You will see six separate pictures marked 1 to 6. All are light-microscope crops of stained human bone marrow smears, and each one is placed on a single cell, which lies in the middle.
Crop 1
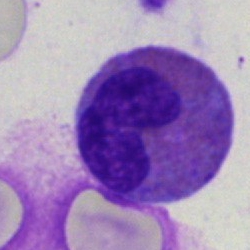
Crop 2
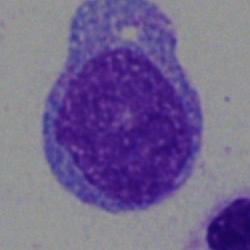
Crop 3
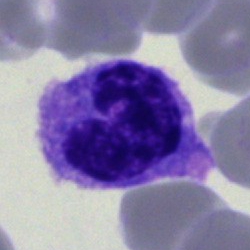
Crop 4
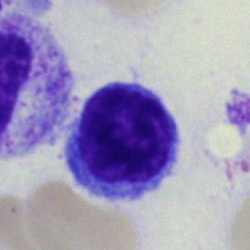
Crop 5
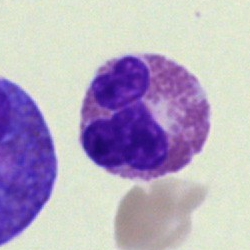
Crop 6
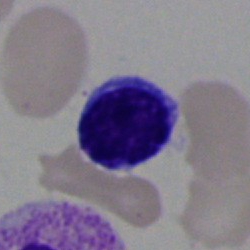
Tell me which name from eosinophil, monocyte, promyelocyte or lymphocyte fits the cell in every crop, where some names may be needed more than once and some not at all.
1: eosinophil
2: promyelocyte
3: monocyte
4: lymphocyte
5: eosinophil
6: lymphocyte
